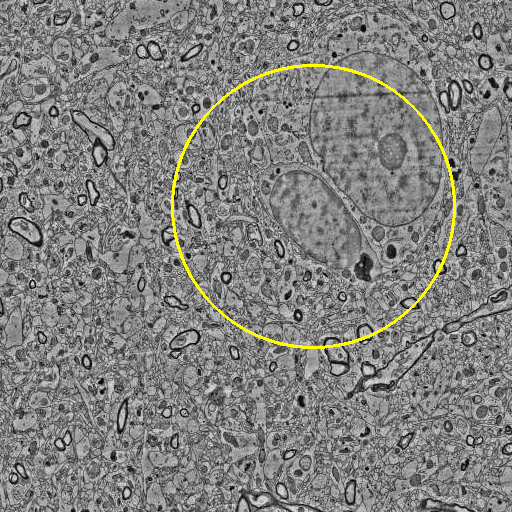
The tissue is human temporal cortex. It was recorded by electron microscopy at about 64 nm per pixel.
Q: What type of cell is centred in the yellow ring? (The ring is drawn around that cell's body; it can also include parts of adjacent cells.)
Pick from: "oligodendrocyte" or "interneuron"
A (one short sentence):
The yellow ring is centred on an oligodendrocyte.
